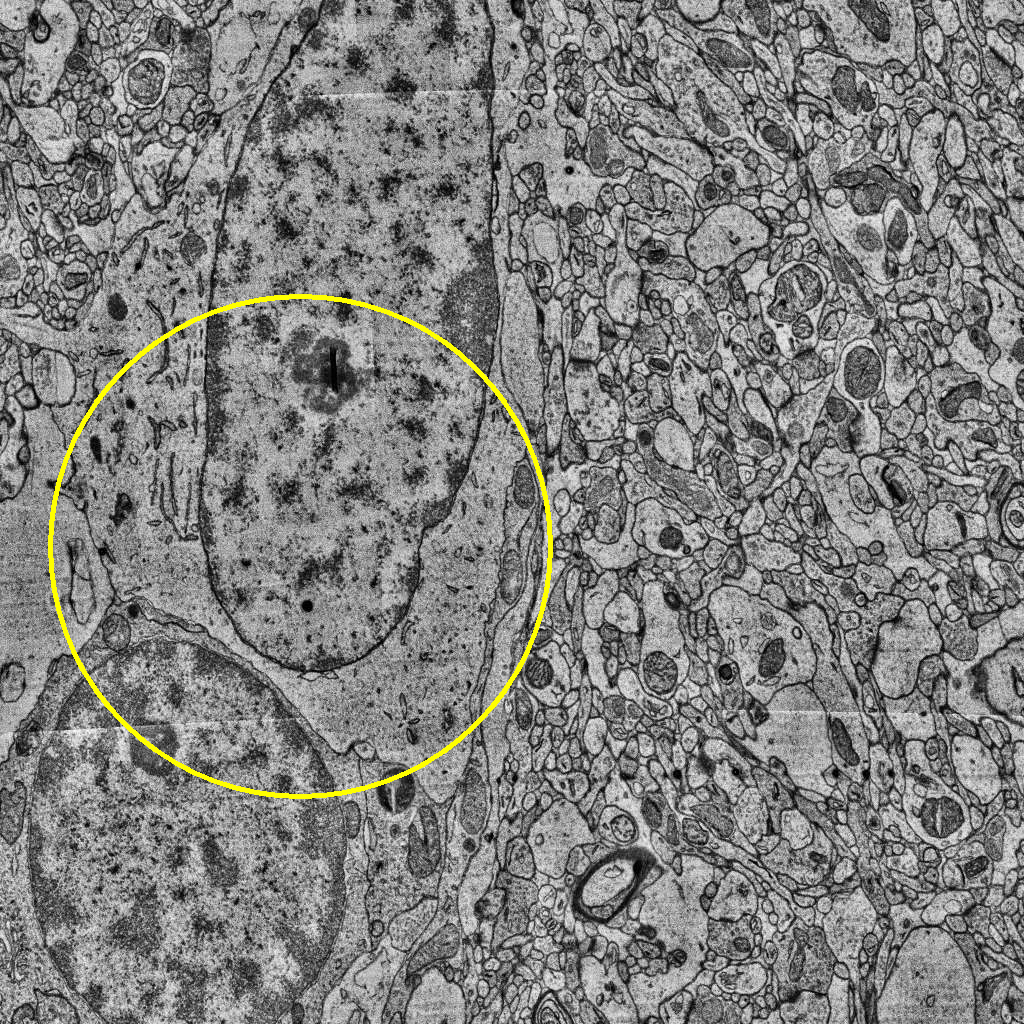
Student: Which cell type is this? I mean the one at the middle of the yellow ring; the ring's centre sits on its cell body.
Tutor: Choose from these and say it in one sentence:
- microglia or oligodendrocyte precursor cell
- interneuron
The cell at the ring's centre is a microglial cell or oligodendrocyte precursor cell.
